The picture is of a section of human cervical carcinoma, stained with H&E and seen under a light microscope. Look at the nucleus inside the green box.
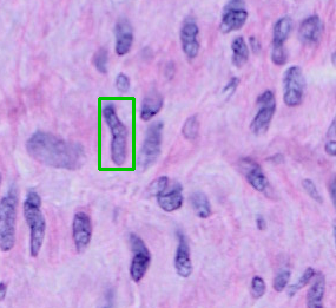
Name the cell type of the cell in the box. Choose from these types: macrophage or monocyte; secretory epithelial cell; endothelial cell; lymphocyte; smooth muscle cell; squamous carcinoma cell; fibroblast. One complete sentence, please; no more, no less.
It is as a smooth muscle cell that the cell in the box is classified.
